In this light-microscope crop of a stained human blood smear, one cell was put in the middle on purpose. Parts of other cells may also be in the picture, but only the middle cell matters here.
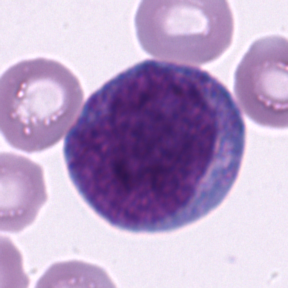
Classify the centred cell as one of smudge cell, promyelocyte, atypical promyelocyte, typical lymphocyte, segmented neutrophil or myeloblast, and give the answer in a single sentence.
Classification of the middle cell gives a promyelocyte.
